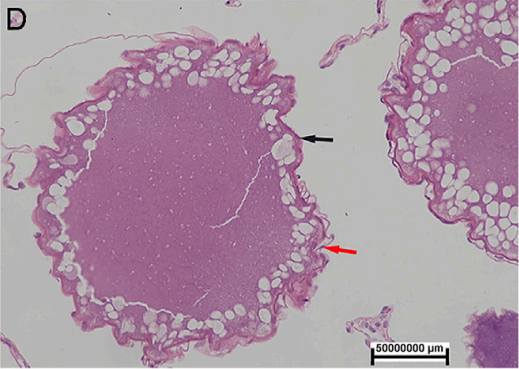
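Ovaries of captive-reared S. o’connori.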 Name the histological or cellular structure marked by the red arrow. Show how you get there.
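The arrow points to the thin, wavy outermost layer around the oocyte.
Conclusion: follicular cell layer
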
